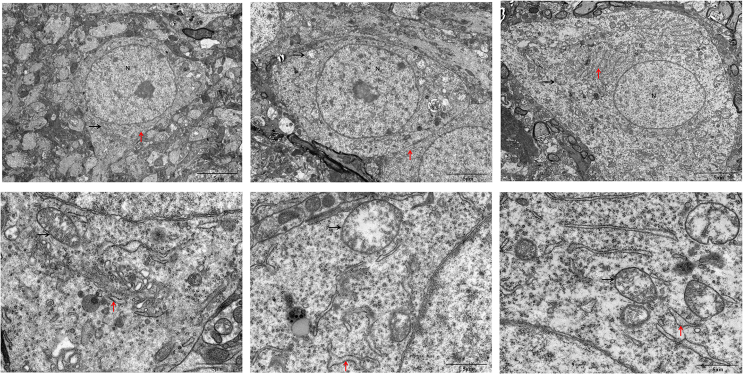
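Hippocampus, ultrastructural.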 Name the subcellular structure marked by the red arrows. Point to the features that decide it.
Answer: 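The red arrows point to flattened membrane cisternae in the cytoplasm. Dark granules line these membranes. On this evidence: rough endoplasmic reticulum.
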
